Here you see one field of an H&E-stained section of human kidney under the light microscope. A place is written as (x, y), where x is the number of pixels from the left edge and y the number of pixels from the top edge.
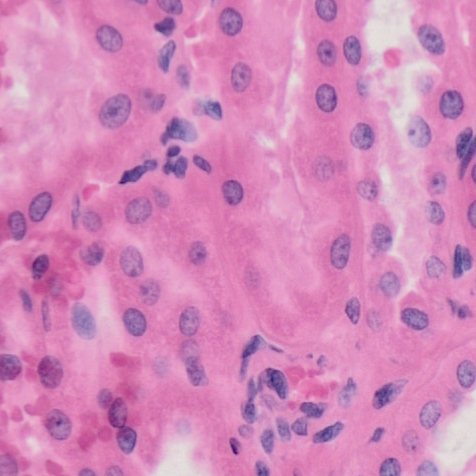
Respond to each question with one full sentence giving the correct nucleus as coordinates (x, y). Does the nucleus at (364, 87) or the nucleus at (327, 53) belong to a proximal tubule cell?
It is the nucleus at (327, 53) that forms part of a proximal tubule cell.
